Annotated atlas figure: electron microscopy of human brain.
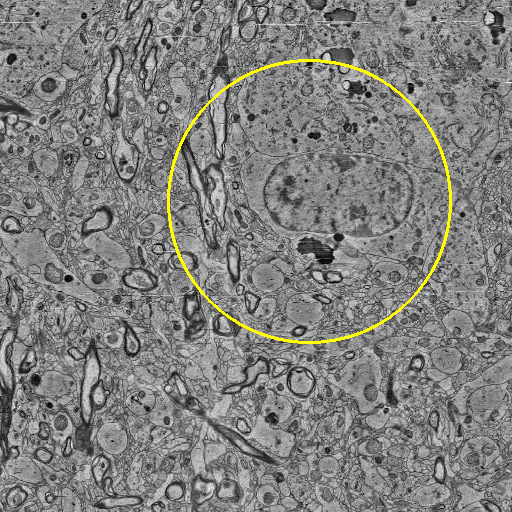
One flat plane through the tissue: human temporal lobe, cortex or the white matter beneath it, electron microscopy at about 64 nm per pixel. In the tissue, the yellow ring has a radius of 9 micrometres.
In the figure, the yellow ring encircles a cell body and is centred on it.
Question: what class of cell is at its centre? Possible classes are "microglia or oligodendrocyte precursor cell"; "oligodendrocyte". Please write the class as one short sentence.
The yellow ring is drawn around a microglial cell or oligodendrocyte precursor cell.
